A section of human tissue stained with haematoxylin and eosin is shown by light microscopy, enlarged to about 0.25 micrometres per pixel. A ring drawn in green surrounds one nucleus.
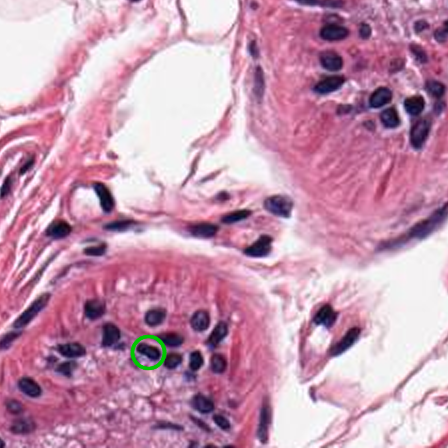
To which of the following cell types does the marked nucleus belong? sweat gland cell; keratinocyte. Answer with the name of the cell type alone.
sweat gland cell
